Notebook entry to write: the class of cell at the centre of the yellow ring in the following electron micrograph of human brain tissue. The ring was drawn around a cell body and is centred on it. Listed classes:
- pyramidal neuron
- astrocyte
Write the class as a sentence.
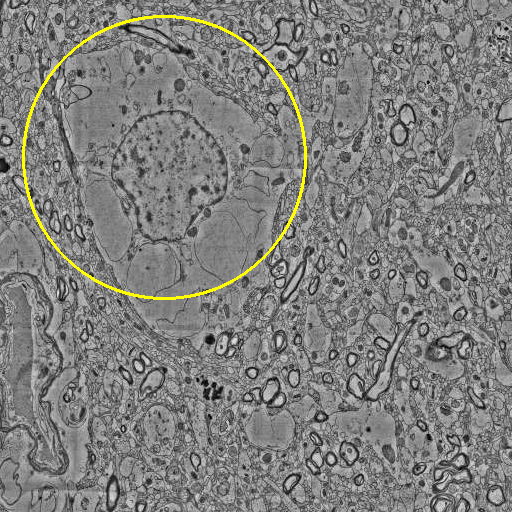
The yellow ring sits on an astrocyte.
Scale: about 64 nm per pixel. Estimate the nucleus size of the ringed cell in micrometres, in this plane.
Roughly 8 micrometers across in this plane.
